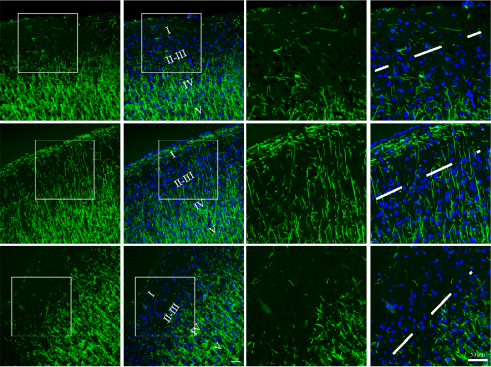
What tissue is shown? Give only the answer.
cerebral cortex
